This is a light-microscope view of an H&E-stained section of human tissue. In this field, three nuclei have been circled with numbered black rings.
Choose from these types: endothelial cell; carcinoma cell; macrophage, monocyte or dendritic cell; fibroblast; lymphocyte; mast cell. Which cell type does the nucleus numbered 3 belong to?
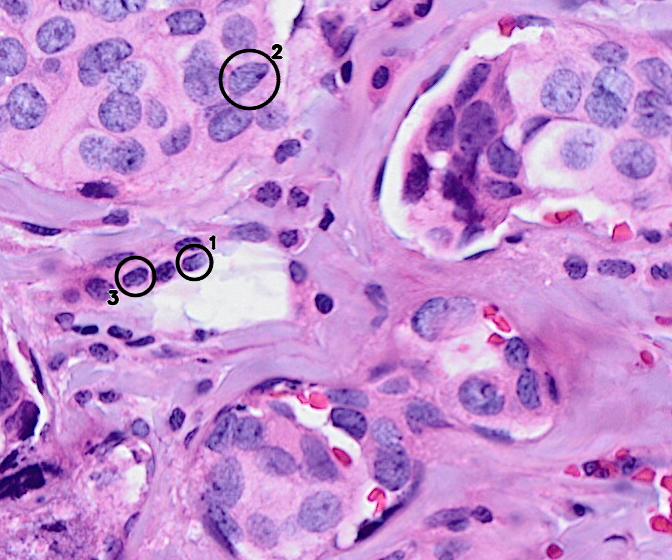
lymphocyte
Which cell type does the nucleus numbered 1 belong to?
lymphocyte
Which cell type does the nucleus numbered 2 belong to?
carcinoma cell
